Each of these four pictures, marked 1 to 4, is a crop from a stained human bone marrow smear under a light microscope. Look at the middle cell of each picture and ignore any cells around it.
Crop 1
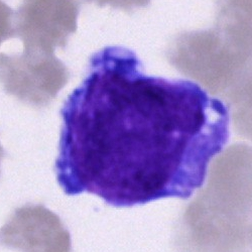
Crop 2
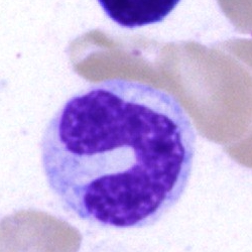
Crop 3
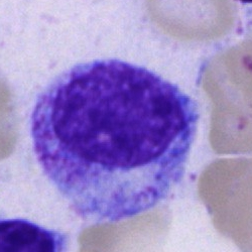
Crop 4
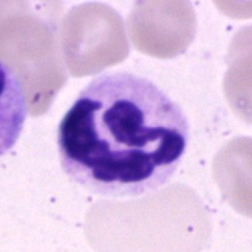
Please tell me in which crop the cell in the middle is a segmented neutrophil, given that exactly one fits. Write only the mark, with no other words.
4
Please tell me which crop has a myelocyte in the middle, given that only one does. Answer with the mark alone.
3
